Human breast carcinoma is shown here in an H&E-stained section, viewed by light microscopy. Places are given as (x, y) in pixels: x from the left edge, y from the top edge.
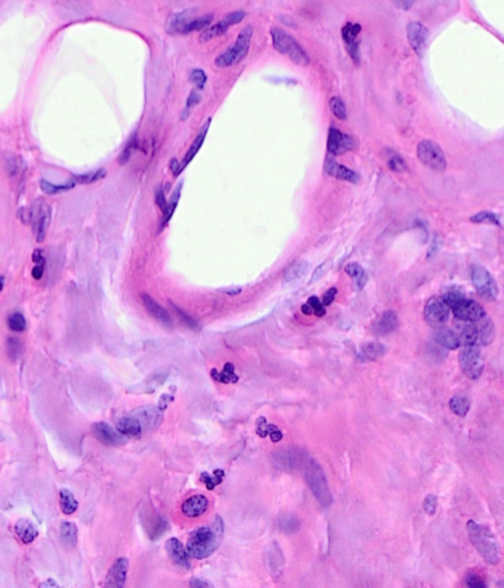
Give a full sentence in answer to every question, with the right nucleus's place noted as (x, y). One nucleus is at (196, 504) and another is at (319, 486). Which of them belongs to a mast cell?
The nucleus lying at (196, 504) is the nucleus of a mast cell.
